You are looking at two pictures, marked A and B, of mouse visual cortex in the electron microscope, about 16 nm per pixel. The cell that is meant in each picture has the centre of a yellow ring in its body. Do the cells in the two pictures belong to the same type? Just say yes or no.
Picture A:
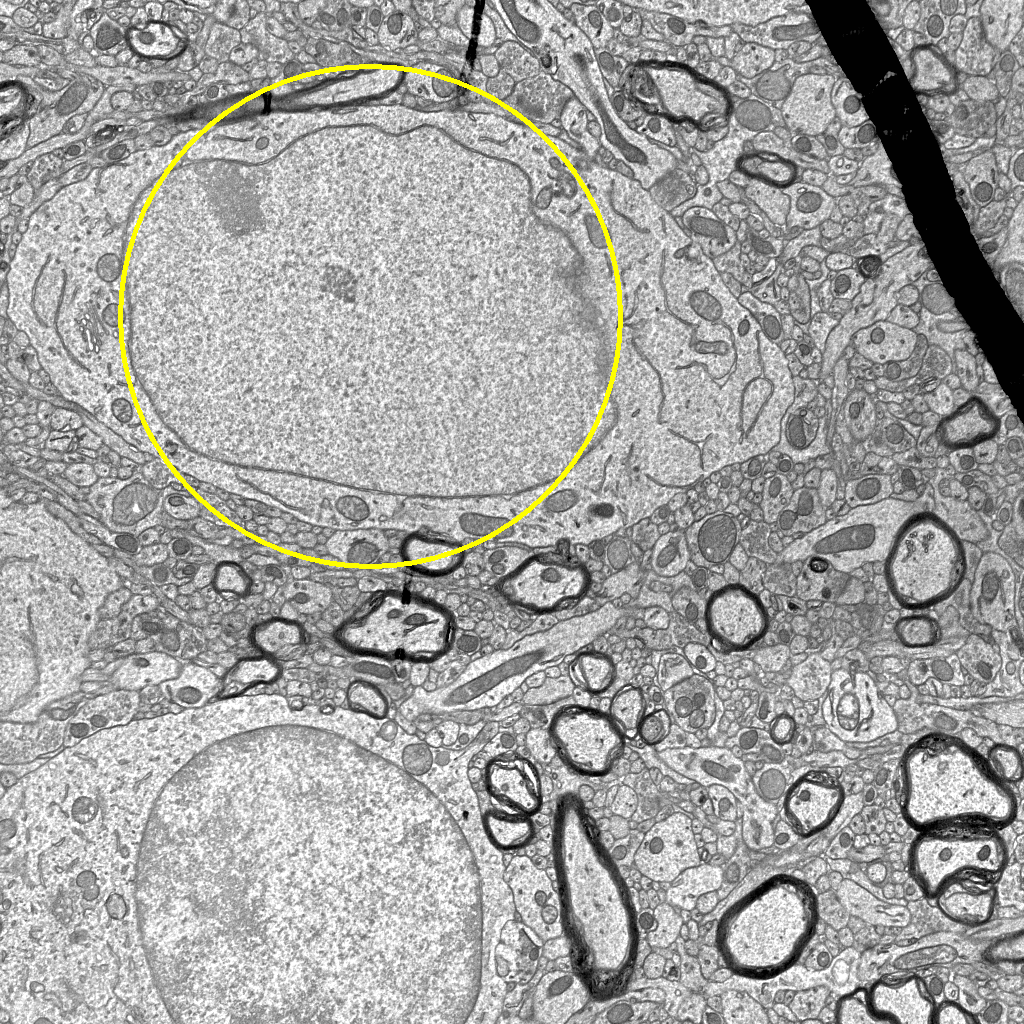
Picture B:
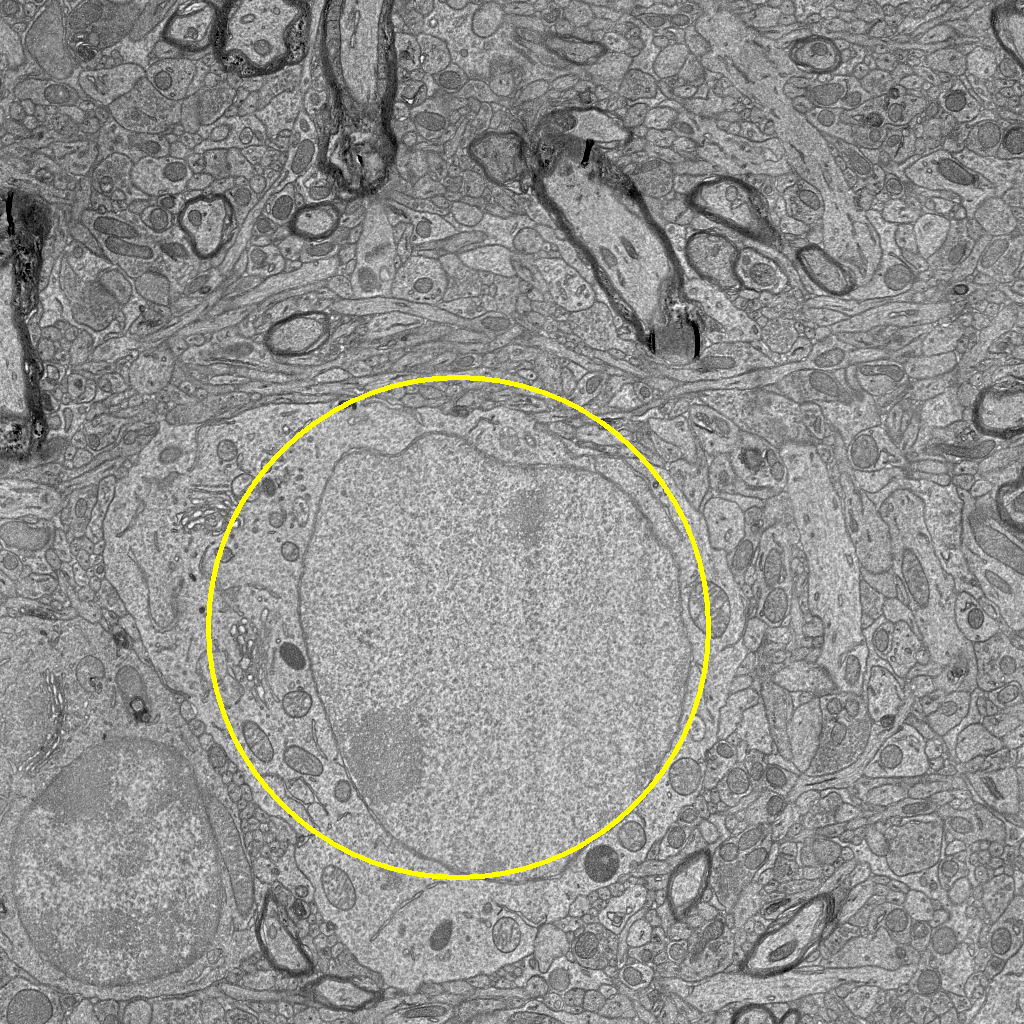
yes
